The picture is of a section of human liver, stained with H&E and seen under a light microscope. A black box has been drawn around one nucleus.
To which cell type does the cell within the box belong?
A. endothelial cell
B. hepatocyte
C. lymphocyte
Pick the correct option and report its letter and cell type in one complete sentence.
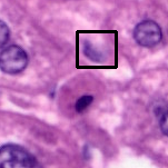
Option A holds, since the cell within the box is an endothelial cell.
